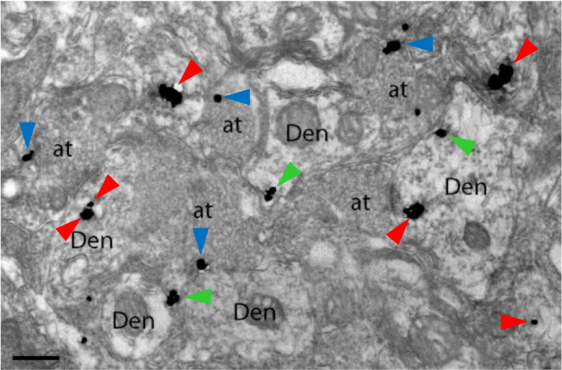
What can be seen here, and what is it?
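The dendritic profiles have pale cytoplasm and several contain rounded mitochondria with visible inner membranes. Dense black gold particles, some single and some in clumps, lie both on the plasma membranes at the edges of profiles and inside the cytoplasm. The surrounding grey background is filled with many small cut processes of nerve cells.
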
